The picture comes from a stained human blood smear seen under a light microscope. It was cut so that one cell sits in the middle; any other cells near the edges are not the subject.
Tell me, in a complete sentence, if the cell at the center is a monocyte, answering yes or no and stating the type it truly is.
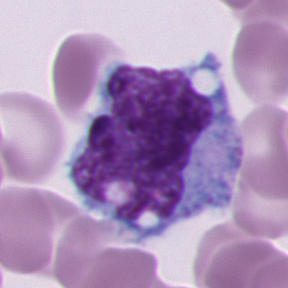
Yes, the cell of interest in the middle is a monocyte.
